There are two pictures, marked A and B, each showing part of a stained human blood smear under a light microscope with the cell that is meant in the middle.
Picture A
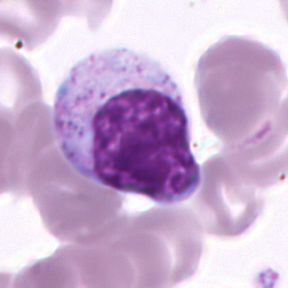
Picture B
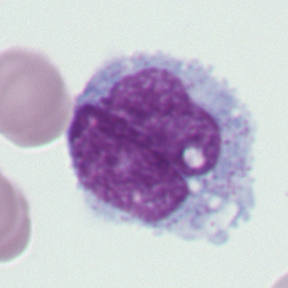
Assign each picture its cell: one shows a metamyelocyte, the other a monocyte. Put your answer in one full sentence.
In picture A the cell is a metamyelocyte; in picture B, a monocyte.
